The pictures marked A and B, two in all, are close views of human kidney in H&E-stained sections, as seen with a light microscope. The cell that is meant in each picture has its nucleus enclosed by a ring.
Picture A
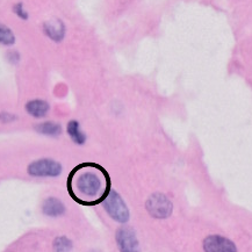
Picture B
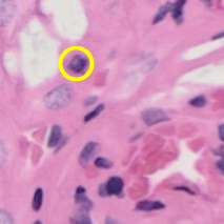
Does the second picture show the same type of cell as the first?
no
